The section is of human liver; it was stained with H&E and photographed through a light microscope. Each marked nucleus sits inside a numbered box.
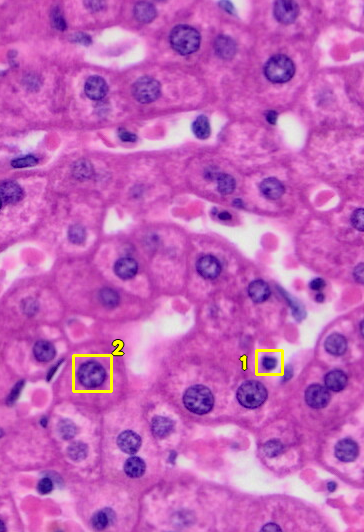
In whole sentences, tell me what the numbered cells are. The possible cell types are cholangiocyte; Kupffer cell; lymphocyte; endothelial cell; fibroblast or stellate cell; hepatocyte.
Cell 1 is a lymphocyte. Cell 2 is a hepatocyte.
